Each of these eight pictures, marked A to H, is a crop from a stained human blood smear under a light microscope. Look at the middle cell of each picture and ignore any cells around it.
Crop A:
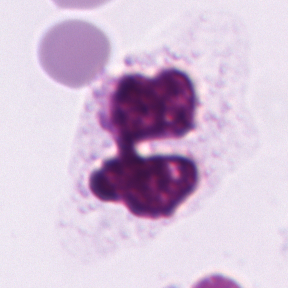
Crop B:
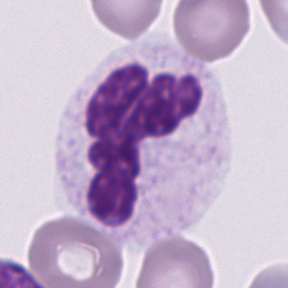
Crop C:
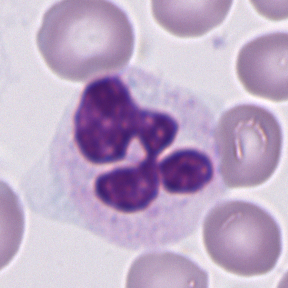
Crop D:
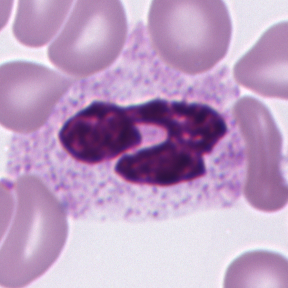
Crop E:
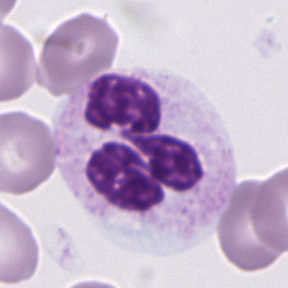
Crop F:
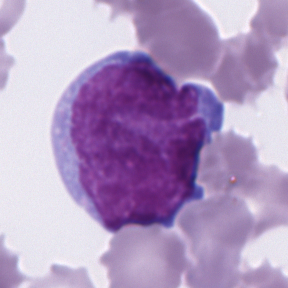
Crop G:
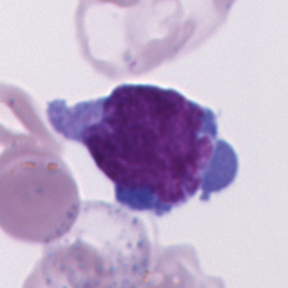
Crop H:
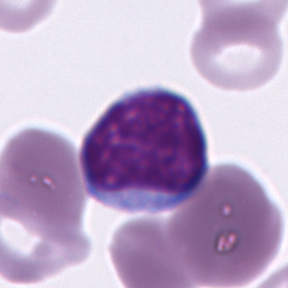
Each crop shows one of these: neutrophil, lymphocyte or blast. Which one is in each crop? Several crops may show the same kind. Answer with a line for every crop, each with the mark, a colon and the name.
A: neutrophil
B: neutrophil
C: neutrophil
D: neutrophil
E: neutrophil
F: blast
G: blast
H: lymphocyte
